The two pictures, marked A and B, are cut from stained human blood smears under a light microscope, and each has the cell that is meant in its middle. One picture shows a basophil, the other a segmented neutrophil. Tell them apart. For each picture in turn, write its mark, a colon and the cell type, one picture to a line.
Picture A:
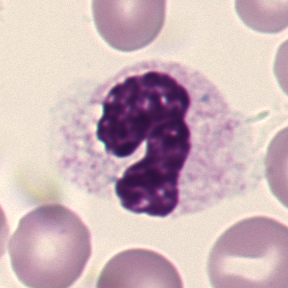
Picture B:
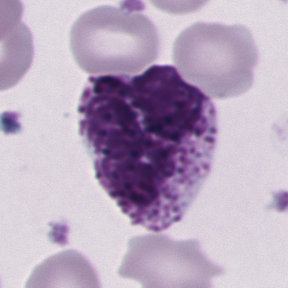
A: segmented neutrophil
B: basophil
